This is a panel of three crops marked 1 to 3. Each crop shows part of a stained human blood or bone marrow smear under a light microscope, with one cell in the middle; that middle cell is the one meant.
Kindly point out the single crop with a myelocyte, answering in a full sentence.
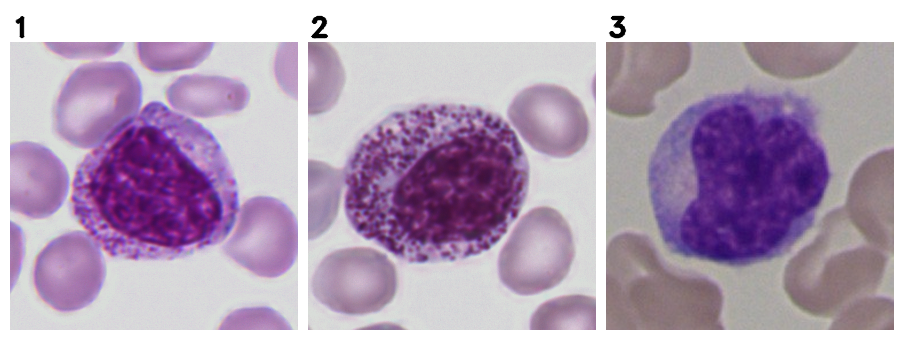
It is the cell in crop 2 that is a myelocyte.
